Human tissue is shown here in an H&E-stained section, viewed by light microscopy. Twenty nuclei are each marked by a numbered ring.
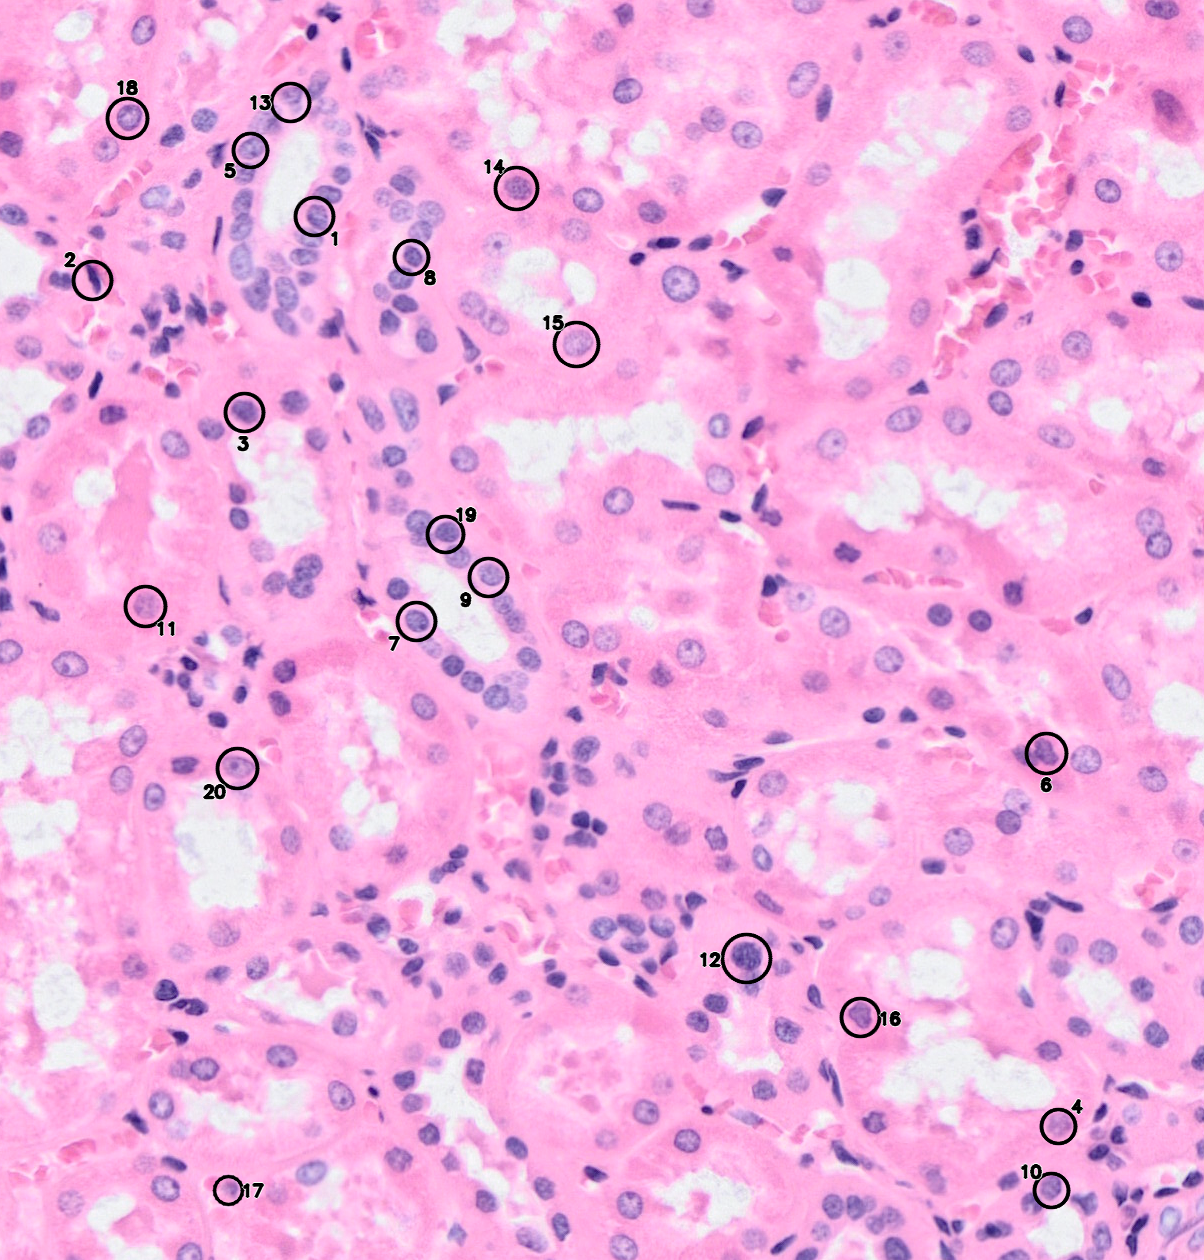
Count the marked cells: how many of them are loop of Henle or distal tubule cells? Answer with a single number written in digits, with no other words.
2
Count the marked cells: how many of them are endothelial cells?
2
